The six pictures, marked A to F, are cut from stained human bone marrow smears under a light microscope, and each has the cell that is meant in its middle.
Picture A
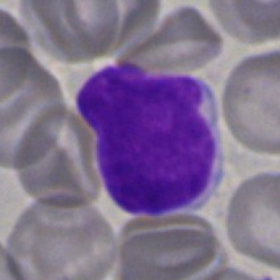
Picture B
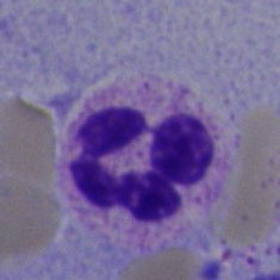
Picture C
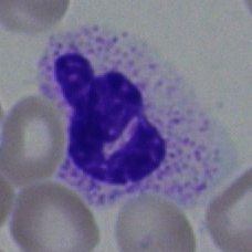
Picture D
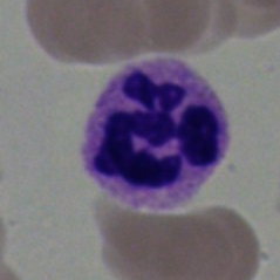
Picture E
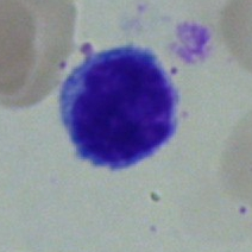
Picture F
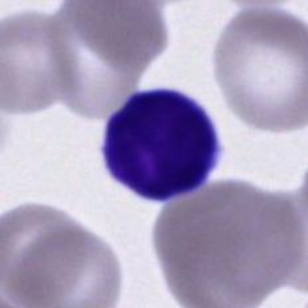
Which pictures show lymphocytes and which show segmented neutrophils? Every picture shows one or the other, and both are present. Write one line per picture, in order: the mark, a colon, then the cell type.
A: lymphocyte
B: segmented neutrophil
C: segmented neutrophil
D: segmented neutrophil
E: lymphocyte
F: lymphocyte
